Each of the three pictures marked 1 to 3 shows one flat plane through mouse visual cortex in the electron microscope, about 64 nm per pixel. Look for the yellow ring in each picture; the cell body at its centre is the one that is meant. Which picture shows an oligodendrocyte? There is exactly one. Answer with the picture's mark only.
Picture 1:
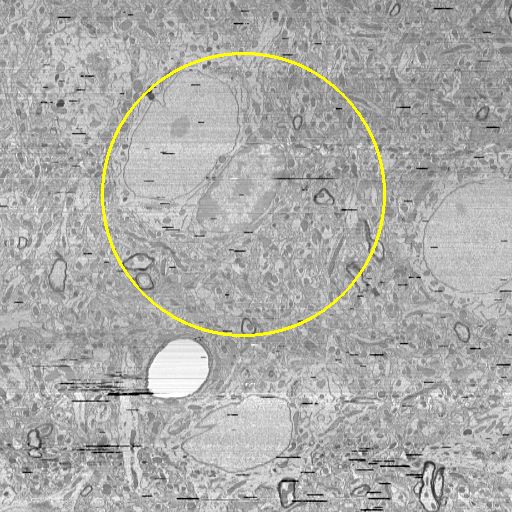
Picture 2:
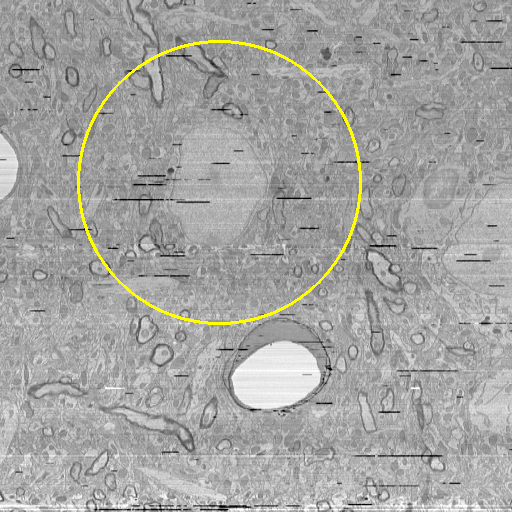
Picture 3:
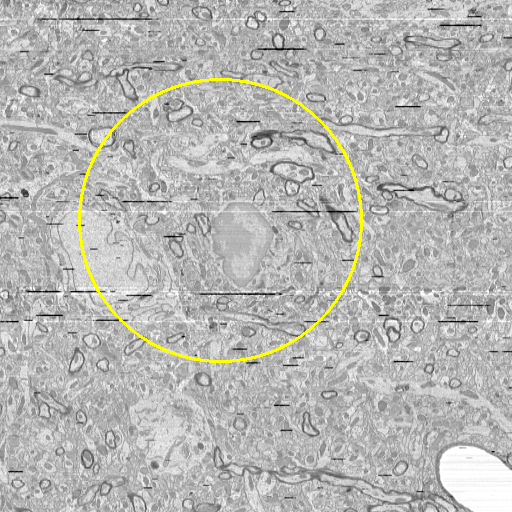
1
